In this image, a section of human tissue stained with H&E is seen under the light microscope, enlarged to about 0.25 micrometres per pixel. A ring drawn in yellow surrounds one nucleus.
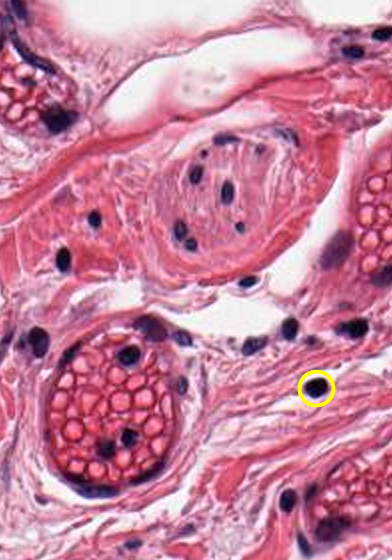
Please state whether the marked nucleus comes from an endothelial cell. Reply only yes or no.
no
